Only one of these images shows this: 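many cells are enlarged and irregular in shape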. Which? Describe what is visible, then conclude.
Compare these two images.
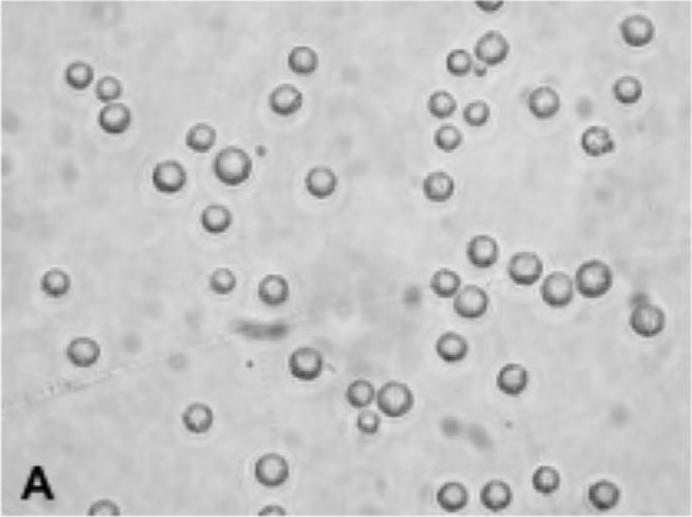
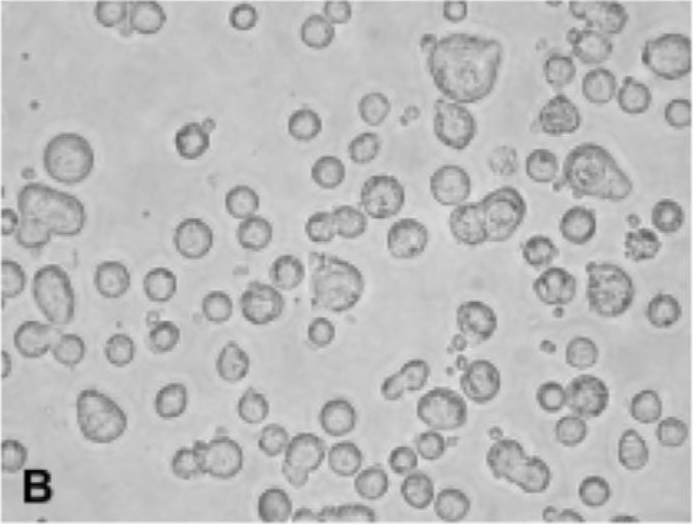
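The second image. First image: the cells are small, round, smooth-edged and of similar size. Second image: many cells are large, with lobed or rough outlines, and sizes vary widely.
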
